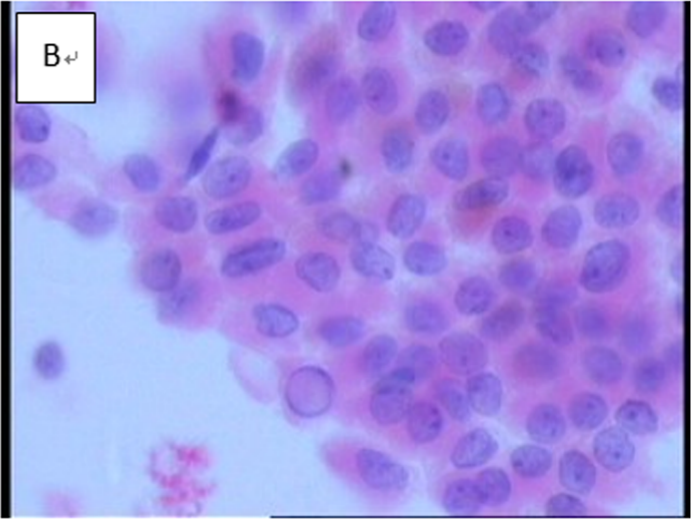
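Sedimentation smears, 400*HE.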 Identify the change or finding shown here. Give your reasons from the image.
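The nuclei are pale lavender with finely dispersed, powdery chromatin. The nuclear interiors look washed-out compared with the dark nuclear outlines.
Conclusion: nuclei of glass appearance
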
